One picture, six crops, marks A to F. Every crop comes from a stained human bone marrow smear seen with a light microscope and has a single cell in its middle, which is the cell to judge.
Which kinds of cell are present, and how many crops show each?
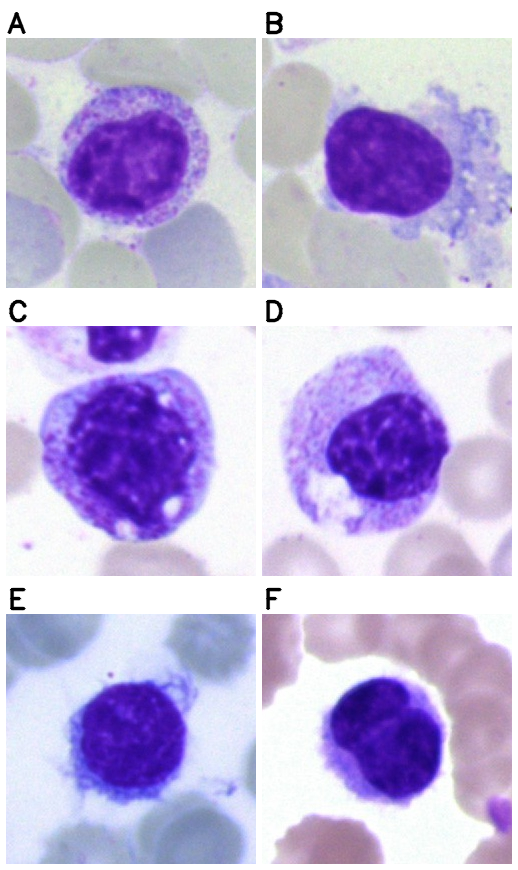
myelocyte: 3
hairy cell: 3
